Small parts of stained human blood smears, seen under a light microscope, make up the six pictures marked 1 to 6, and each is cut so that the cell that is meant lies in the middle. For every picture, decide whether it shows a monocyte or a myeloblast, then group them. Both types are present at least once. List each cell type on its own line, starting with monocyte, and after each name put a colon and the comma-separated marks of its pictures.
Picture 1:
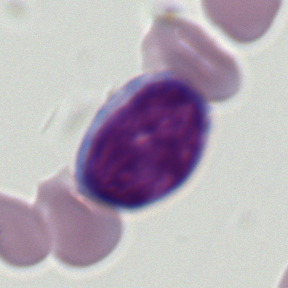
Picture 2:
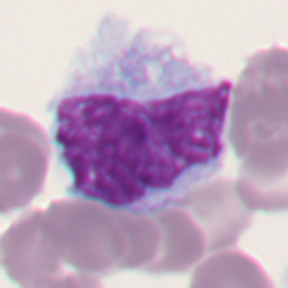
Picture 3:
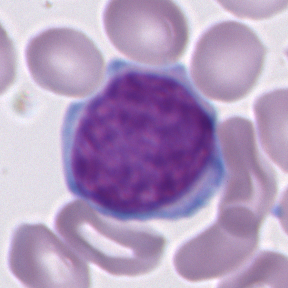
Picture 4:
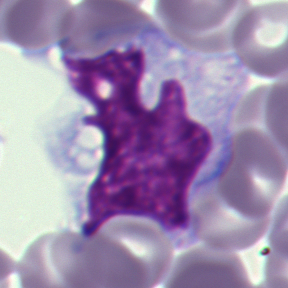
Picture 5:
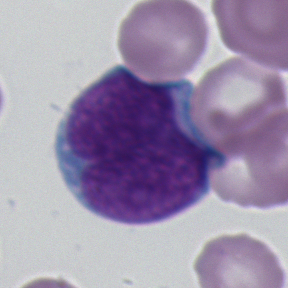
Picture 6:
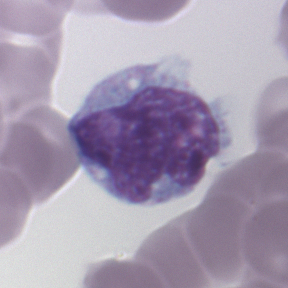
monocyte: 2, 4, 6
myeloblast: 1, 3, 5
